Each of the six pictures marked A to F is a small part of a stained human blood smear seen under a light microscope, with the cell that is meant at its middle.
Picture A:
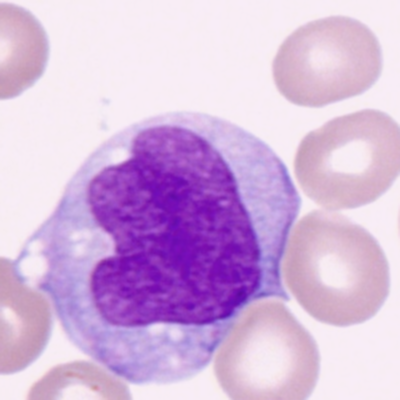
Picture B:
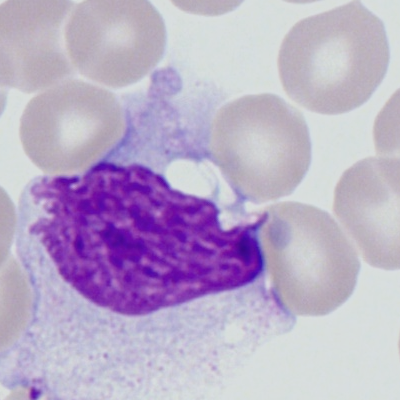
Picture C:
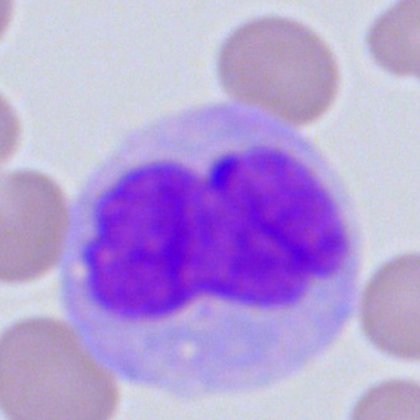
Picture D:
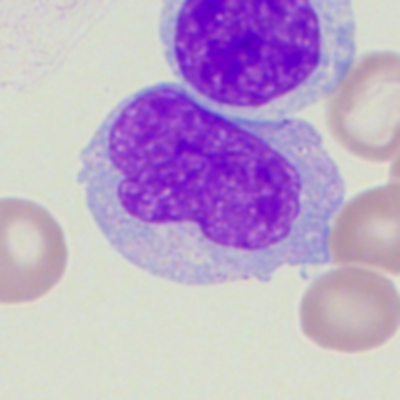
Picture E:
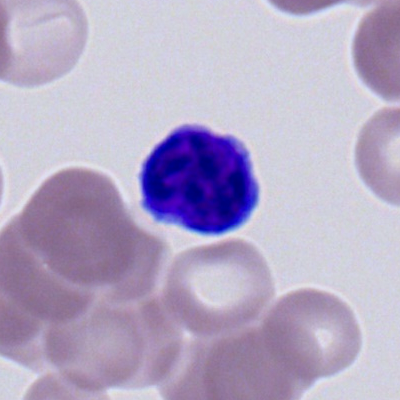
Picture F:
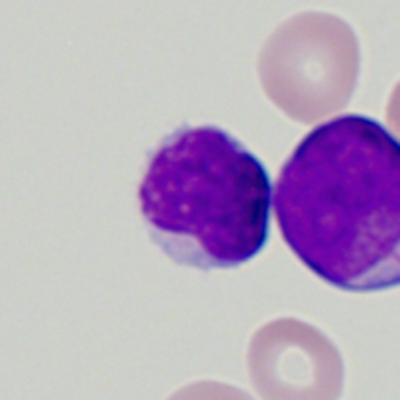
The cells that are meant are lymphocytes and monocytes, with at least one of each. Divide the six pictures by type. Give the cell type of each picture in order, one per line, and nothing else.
monocyte
monocyte
monocyte
monocyte
lymphocyte
lymphocyte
